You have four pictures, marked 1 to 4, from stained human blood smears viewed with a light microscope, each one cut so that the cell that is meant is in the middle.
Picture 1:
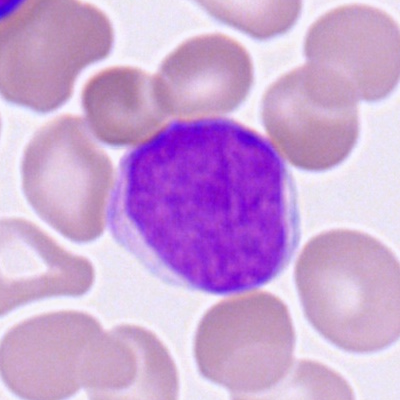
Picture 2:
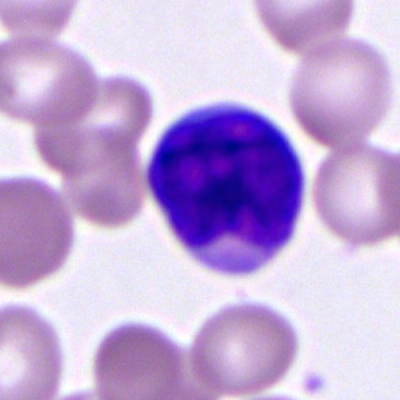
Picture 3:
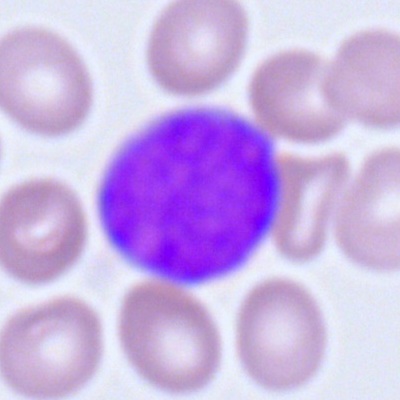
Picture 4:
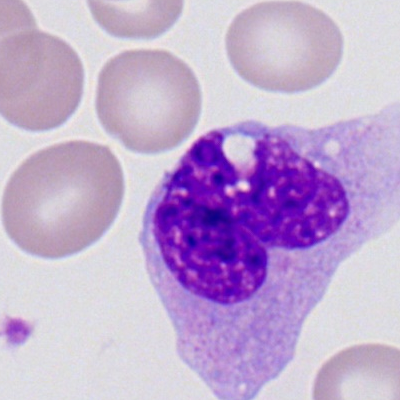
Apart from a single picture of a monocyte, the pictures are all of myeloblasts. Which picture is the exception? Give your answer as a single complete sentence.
The cell in picture 4 is the monocyte.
